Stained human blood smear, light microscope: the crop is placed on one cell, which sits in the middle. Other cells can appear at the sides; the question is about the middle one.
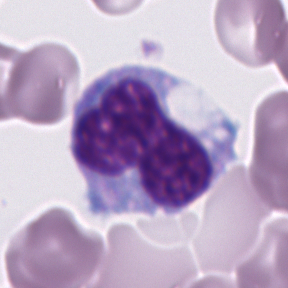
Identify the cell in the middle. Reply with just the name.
monocyte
